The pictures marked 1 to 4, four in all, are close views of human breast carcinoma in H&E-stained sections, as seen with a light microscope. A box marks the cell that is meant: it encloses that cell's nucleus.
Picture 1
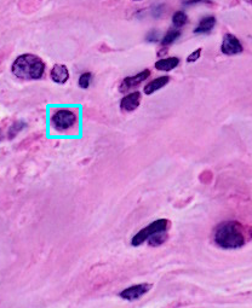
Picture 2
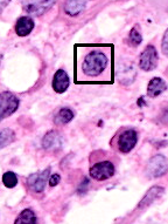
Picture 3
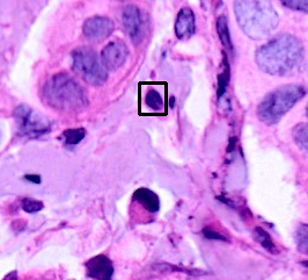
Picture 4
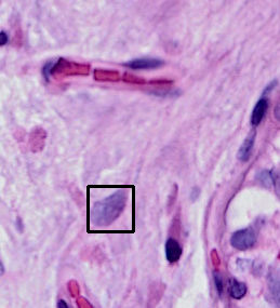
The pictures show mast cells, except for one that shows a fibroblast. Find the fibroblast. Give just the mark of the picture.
4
